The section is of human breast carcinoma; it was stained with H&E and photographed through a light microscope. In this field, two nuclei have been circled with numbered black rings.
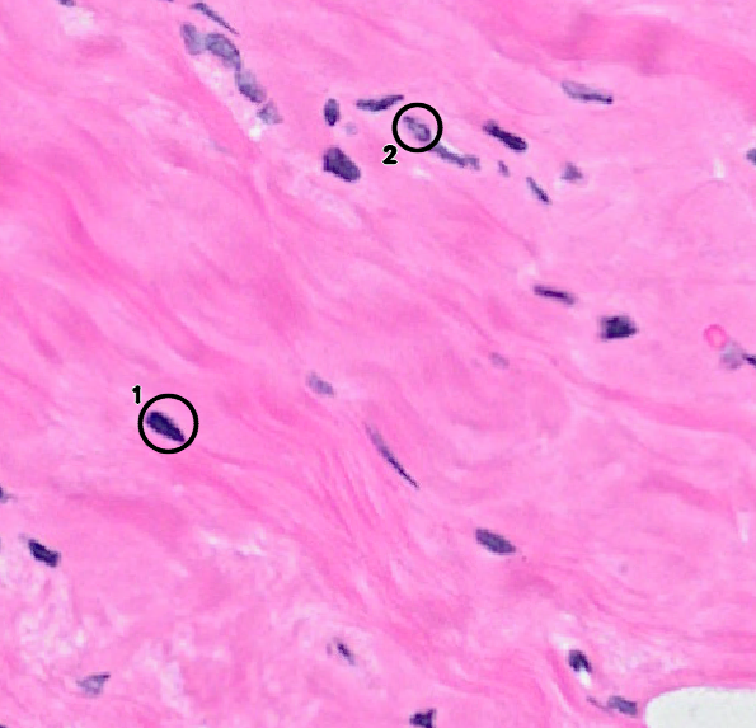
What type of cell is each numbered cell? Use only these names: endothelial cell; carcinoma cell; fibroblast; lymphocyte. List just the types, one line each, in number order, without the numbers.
lymphocyte
endothelial cell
